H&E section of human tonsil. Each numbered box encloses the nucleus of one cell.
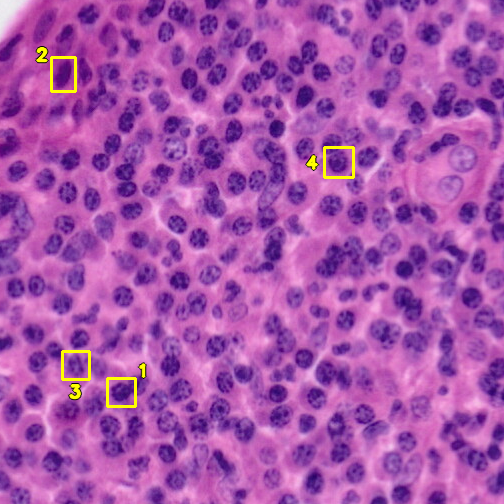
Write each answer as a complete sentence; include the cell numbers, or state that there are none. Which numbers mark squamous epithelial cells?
Of the numbered nuclei, only the one labelled 2 belongs to a squamous epithelial cell.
